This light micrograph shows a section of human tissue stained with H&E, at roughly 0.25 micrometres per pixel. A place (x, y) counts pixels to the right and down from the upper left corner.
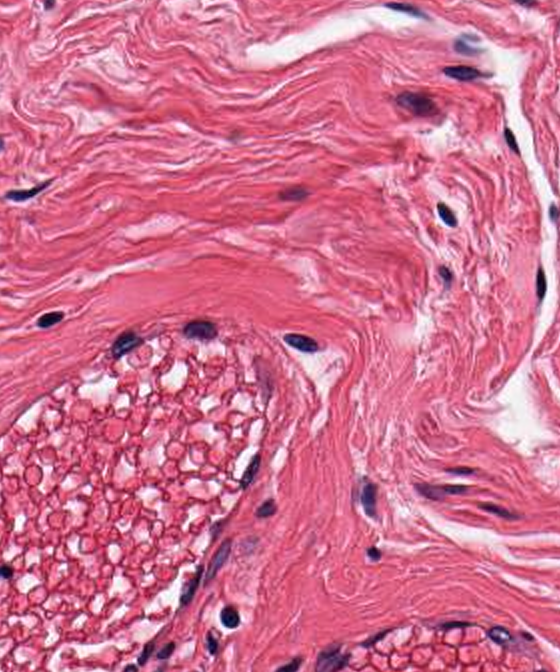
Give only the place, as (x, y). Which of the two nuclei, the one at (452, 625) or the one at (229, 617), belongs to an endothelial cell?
(452, 625)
